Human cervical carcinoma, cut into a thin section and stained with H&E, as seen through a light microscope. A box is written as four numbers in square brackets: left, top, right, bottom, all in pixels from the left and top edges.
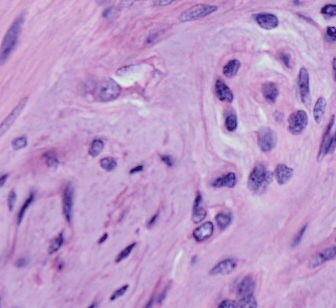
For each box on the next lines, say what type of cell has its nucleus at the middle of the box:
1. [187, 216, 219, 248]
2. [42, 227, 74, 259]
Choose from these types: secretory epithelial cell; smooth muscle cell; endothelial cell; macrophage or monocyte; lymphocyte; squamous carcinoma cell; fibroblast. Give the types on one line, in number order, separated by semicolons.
endothelial cell; smooth muscle cell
